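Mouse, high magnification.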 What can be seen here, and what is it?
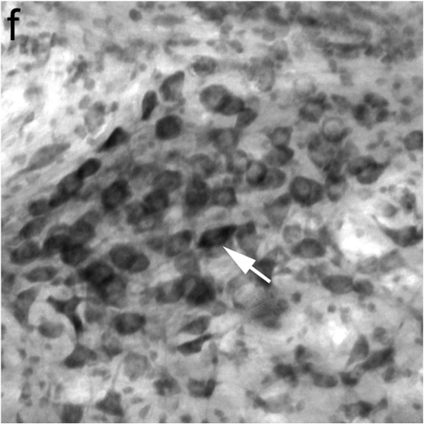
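A group of large neurons lies across the middle of the field, running diagonally. Their rounded to polygonal cell bodies stain dark grey, several showing a paler round nucleus. Small dark nuclei of other cells lie scattered between and around them.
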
